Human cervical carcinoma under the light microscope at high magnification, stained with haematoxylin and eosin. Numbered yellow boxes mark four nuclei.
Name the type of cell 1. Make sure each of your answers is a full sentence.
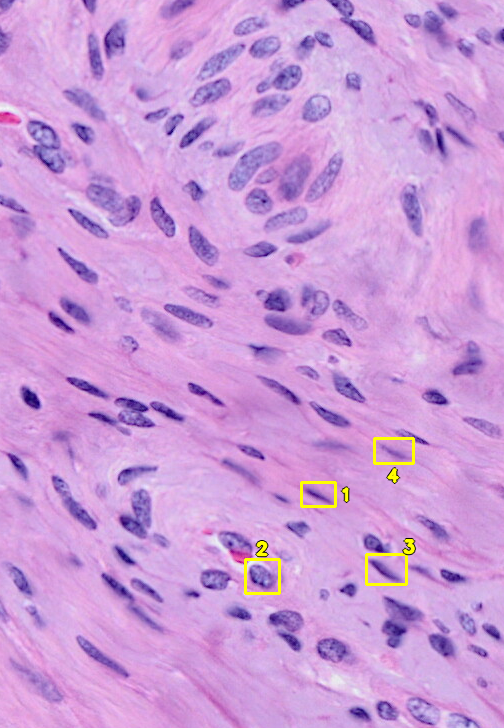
What the number 1 marks in this field is a fibroblast.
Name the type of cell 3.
The cell carrying label 3 is identified as a fibroblast.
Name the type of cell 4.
Belonging to a fibroblast is the nucleus that carries the number 4.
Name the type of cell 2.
The cell whose nucleus carries the number 2 is an endothelial cell.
